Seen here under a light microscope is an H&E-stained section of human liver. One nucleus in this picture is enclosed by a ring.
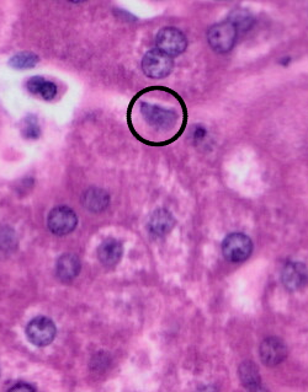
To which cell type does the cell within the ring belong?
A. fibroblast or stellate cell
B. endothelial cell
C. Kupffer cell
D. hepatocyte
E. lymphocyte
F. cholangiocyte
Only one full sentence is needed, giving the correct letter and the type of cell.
The correct identification, the cell within the ring as an endothelial cell, is given by option B.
